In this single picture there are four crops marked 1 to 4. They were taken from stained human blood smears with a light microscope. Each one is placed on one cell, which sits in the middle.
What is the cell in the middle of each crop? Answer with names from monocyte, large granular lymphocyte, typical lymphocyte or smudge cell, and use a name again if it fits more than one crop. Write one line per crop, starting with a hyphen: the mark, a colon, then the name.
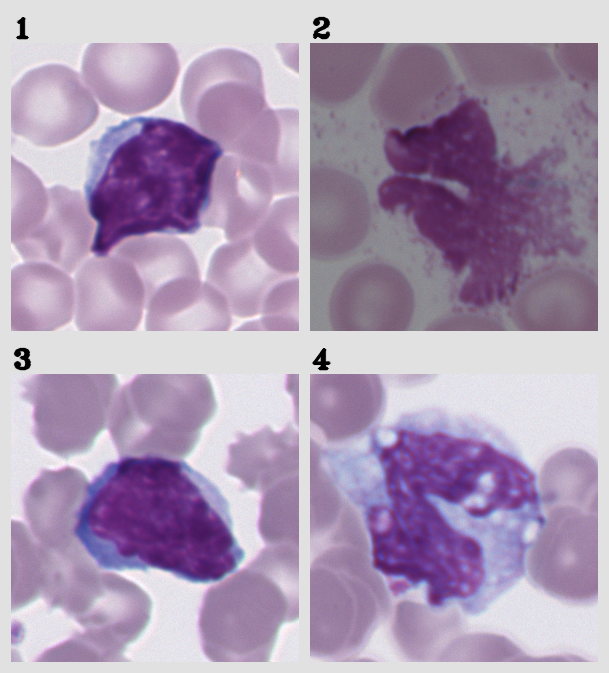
- 1: typical lymphocyte
- 2: smudge cell
- 3: typical lymphocyte
- 4: monocyte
